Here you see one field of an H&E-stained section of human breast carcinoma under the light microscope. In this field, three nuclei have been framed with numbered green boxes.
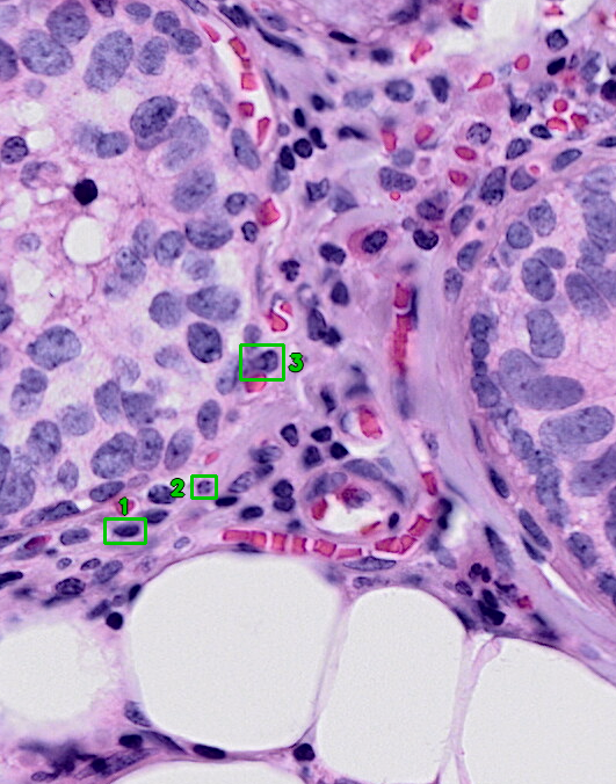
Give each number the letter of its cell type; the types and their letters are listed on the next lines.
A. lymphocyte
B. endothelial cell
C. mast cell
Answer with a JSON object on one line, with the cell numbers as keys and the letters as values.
{"1": "A", "2": "C", "3": "B"}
